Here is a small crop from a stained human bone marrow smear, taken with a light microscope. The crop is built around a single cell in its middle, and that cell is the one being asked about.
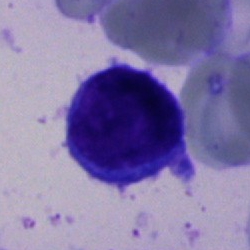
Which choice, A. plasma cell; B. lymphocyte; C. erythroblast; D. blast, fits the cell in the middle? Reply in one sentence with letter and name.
This one is option B, since the cell at the center is a lymphocyte.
